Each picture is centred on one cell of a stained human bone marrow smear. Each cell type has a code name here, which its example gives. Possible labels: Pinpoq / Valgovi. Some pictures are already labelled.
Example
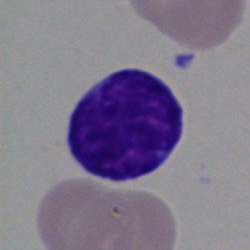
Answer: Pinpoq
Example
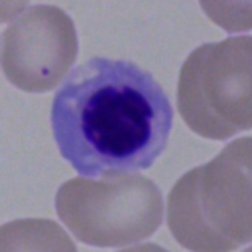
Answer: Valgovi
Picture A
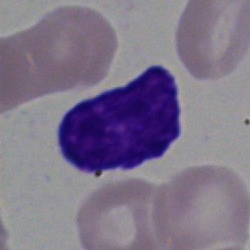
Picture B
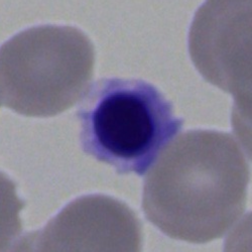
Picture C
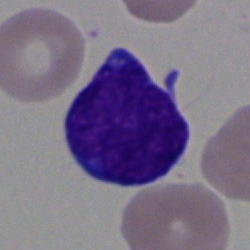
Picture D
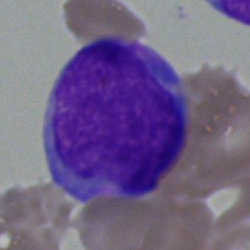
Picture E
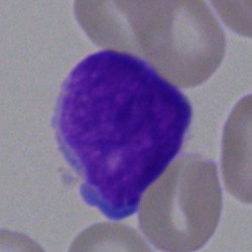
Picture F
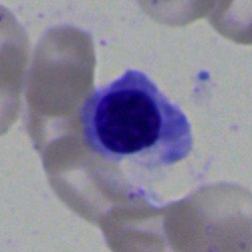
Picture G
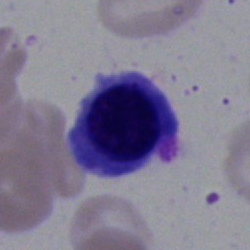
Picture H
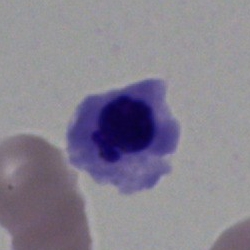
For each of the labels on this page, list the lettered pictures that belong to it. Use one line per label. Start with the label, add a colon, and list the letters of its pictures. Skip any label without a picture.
Pinpoq: A, C, D, E
Valgovi: B, F, G, H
